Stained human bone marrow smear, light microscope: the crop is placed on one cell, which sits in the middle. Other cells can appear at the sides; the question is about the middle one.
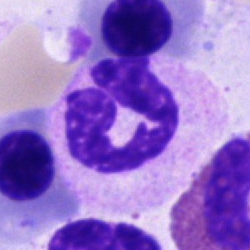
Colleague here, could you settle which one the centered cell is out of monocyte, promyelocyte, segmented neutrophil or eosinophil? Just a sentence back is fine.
By type, the central cell of the crop is a segmented neutrophil.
